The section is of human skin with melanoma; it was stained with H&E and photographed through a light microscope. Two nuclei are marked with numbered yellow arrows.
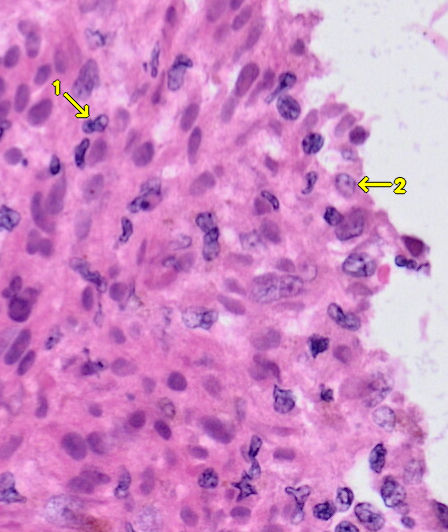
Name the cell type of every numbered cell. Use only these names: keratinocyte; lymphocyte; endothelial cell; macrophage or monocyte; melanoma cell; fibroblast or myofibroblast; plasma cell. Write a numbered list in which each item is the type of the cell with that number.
1. lymphocyte
2. macrophage or monocyte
